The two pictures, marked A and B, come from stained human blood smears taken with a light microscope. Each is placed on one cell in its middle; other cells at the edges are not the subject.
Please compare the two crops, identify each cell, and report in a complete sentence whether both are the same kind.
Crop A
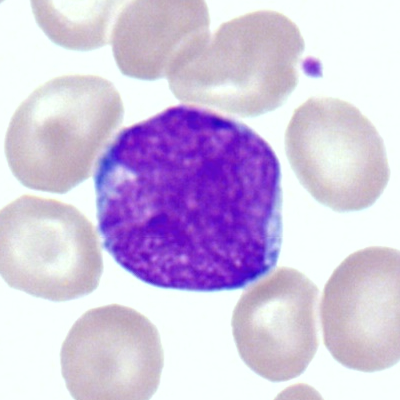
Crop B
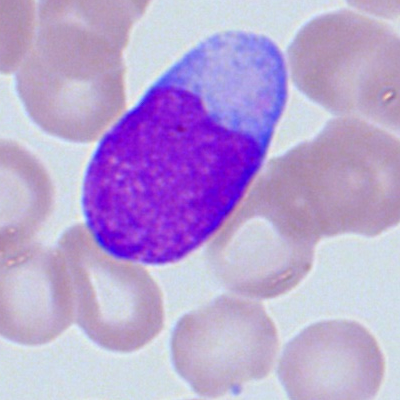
Yes, both crops show blasts at their middles.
